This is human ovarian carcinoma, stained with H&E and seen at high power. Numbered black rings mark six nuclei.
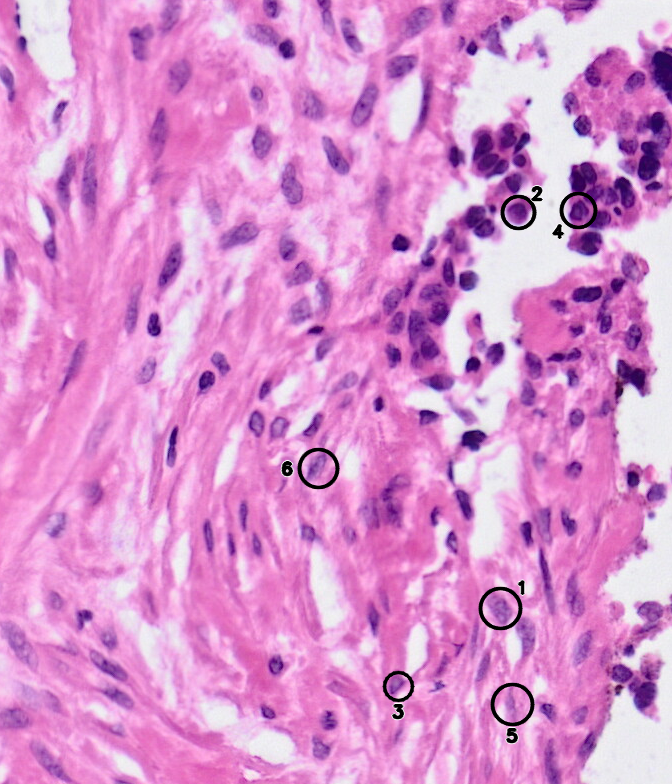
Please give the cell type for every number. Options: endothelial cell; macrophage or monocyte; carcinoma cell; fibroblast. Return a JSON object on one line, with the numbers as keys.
{"1": "fibroblast", "2": "carcinoma cell", "3": "fibroblast", "4": "carcinoma cell", "5": "fibroblast", "6": "fibroblast"}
